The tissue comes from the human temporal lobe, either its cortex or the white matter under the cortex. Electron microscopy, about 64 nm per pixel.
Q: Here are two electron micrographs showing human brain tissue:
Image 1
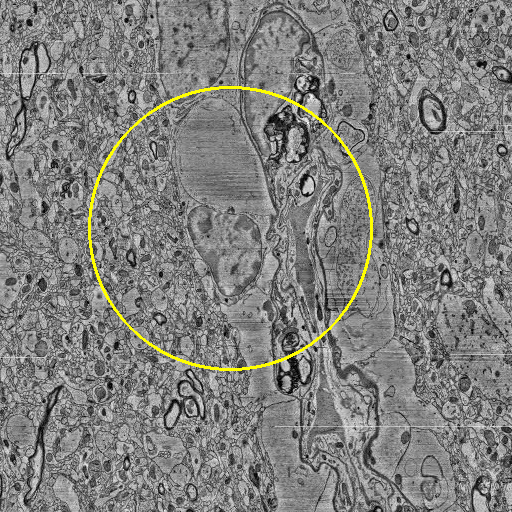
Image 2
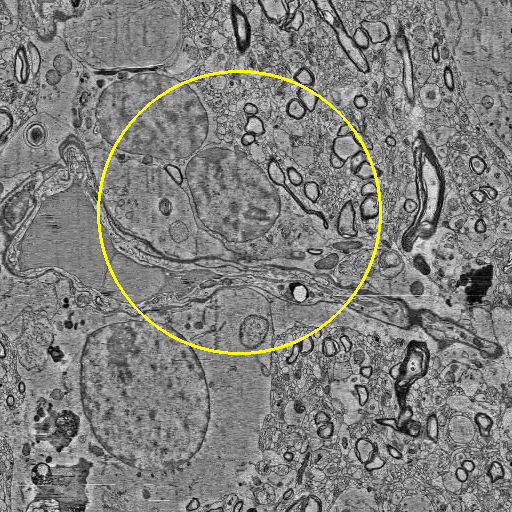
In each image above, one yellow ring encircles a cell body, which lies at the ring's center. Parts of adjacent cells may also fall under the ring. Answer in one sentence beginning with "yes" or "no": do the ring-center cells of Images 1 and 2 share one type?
No, in Images 1 and 2, the ring-center cells are of two types.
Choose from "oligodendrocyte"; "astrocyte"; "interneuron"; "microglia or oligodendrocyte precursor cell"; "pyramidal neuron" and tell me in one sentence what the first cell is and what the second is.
What the first ring is centred on is a microglial cell or oligodendrocyte precursor cell; what the second ring is centred on is an oligodendrocyte.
